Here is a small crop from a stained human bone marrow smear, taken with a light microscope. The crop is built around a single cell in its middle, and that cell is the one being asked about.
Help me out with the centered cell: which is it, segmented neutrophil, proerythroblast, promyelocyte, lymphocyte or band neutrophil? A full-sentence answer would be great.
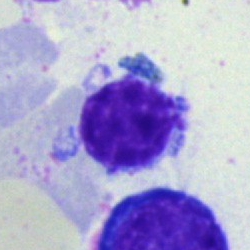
In the center of this field lies a lymphocyte.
